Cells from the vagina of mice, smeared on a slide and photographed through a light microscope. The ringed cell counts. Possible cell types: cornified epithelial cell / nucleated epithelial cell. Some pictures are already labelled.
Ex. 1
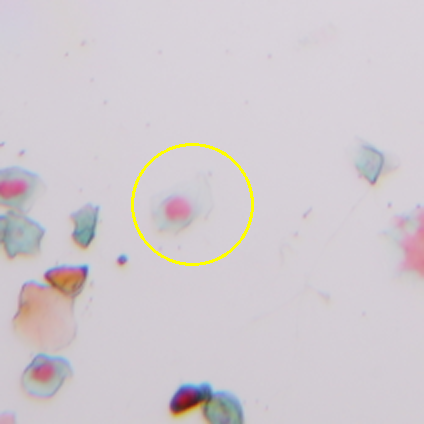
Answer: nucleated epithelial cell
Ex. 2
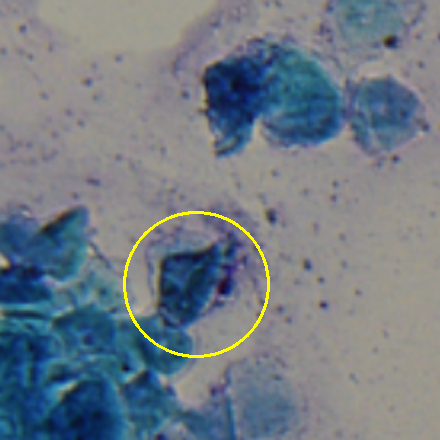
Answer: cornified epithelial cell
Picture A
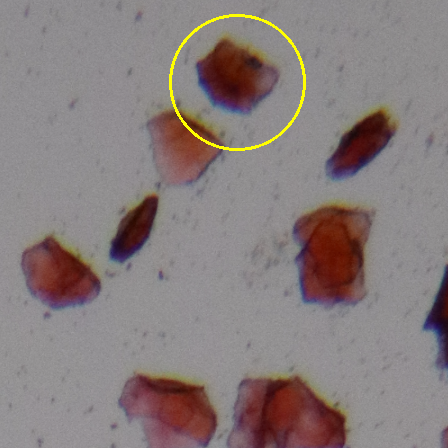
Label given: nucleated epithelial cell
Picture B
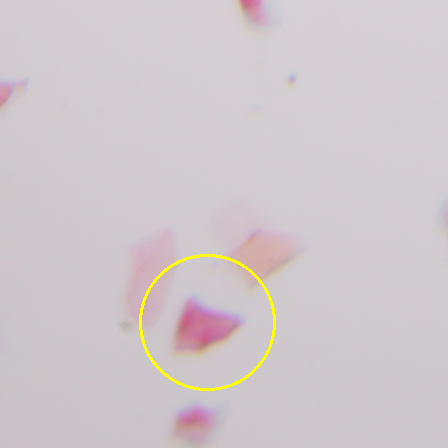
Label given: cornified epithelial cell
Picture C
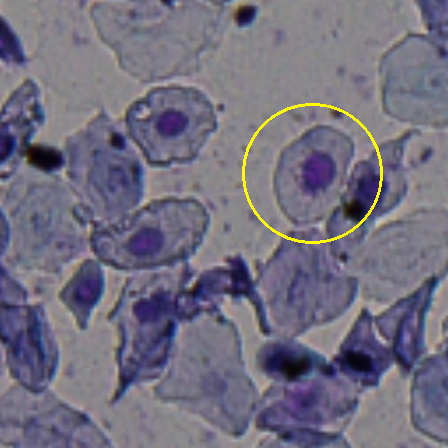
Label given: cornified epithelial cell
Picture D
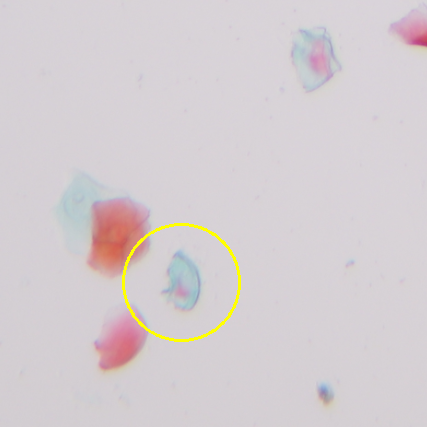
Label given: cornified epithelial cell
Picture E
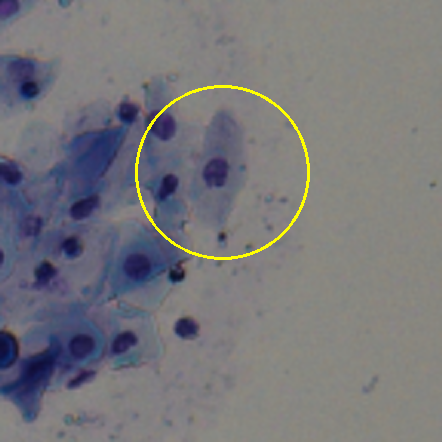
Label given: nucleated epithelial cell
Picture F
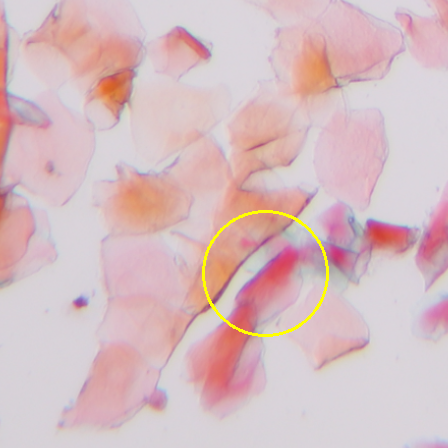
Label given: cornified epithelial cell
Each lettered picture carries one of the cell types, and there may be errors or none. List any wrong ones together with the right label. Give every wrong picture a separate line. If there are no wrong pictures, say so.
A is labelled nucleated epithelial cell; correct label: cornified epithelial cell
C is labelled cornified epithelial cell; correct label: nucleated epithelial cell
